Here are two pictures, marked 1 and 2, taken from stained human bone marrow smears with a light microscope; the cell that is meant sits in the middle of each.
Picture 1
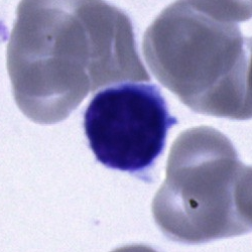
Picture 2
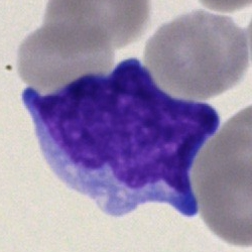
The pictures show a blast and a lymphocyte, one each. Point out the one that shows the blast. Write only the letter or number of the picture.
2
